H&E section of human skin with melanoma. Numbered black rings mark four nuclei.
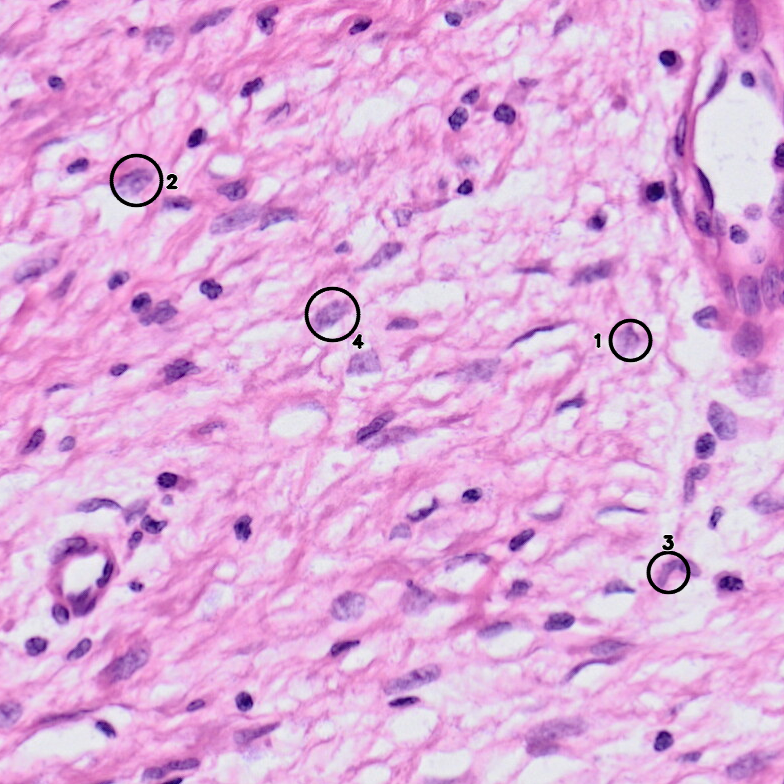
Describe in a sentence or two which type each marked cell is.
Cell 1 is a fibroblast or myofibroblast, cell 2 is a fibroblast or myofibroblast, cell 3 is a macrophage or monocyte and cell 4 is a fibroblast or myofibroblast.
